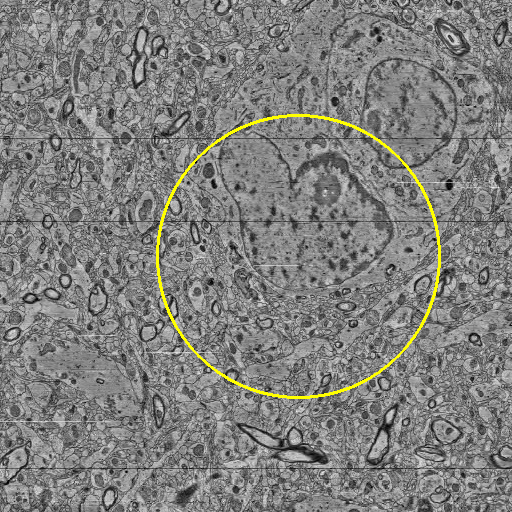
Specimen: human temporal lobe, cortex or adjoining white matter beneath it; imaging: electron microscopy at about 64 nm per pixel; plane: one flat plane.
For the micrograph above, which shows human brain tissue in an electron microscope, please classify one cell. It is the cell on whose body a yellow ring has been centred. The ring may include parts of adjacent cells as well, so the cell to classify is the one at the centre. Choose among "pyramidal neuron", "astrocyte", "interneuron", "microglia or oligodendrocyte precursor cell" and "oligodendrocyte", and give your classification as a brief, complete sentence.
I classify this cell as a microglial cell or oligodendrocyte precursor cell.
